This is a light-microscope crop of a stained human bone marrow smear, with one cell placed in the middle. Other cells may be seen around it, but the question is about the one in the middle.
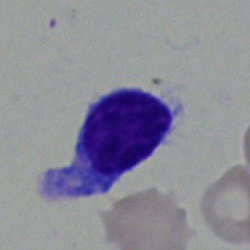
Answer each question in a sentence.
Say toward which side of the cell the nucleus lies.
The nucleus is pushed toward the upper right of the cell.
